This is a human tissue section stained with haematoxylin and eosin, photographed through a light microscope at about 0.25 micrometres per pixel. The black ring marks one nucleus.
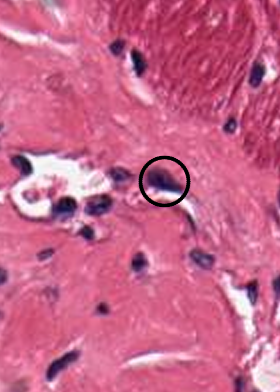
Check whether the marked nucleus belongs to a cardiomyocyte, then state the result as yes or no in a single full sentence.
No, the marked nucleus does not form part of a cardiomyocyte, being part of a supporting cell.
